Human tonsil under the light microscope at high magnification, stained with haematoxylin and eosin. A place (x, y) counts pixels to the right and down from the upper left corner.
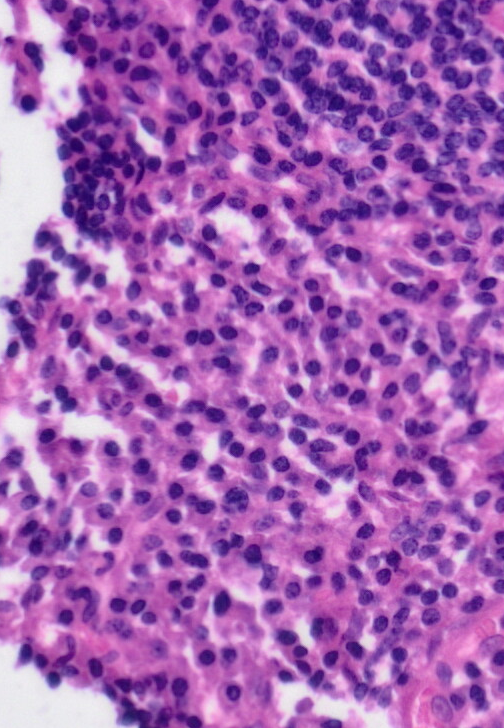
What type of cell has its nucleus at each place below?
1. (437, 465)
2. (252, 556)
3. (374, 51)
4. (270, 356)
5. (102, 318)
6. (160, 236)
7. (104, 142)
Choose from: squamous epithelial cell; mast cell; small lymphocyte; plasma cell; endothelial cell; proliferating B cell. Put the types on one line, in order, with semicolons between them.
plasma cell; plasma cell; small lymphocyte; plasma cell; plasma cell; squamous epithelial cell; small lymphocyte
